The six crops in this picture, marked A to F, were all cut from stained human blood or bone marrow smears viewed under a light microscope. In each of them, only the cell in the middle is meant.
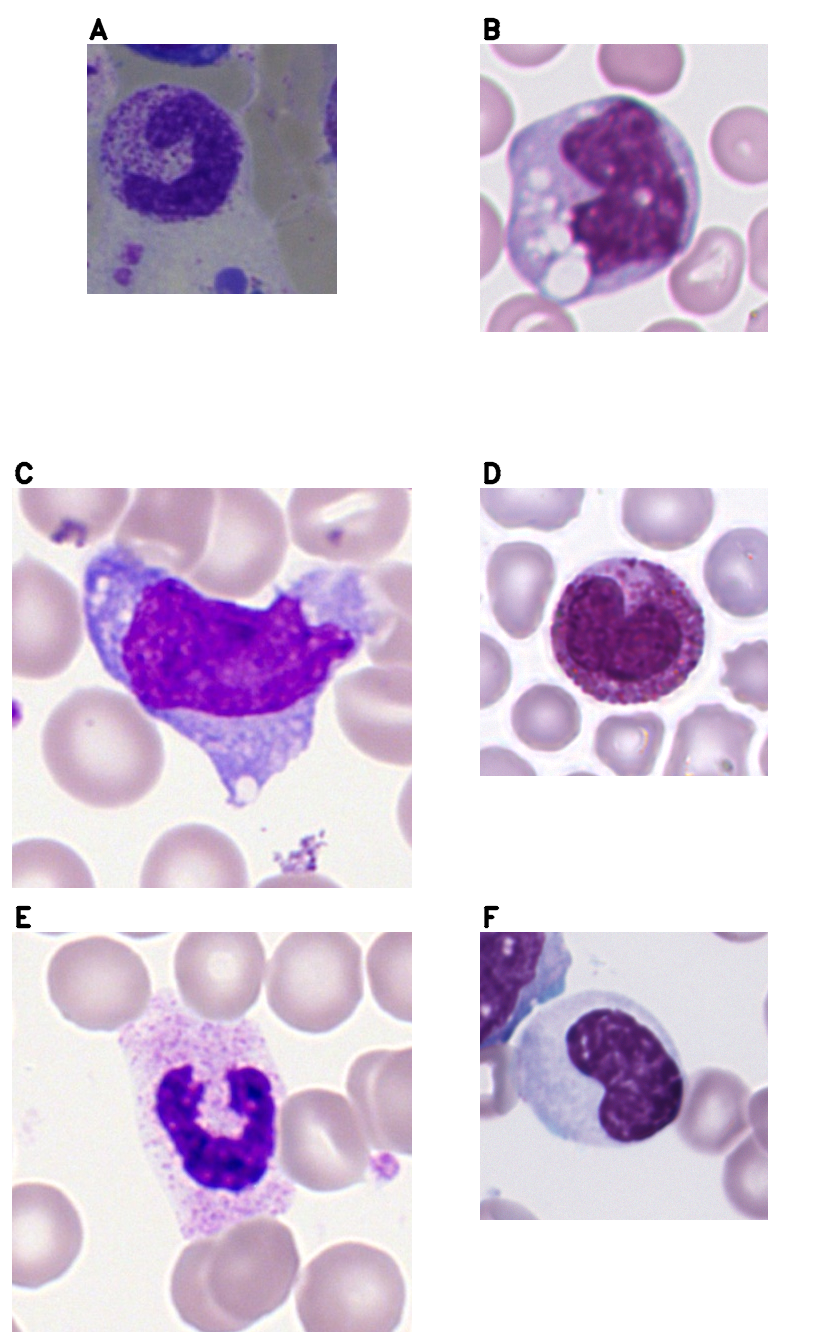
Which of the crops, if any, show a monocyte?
B, C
